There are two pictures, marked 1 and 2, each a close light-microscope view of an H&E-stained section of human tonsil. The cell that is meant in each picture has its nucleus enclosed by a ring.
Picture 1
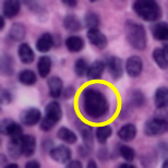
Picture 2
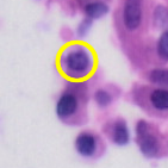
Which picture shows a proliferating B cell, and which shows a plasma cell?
1: proliferating B cell
2: plasma cell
